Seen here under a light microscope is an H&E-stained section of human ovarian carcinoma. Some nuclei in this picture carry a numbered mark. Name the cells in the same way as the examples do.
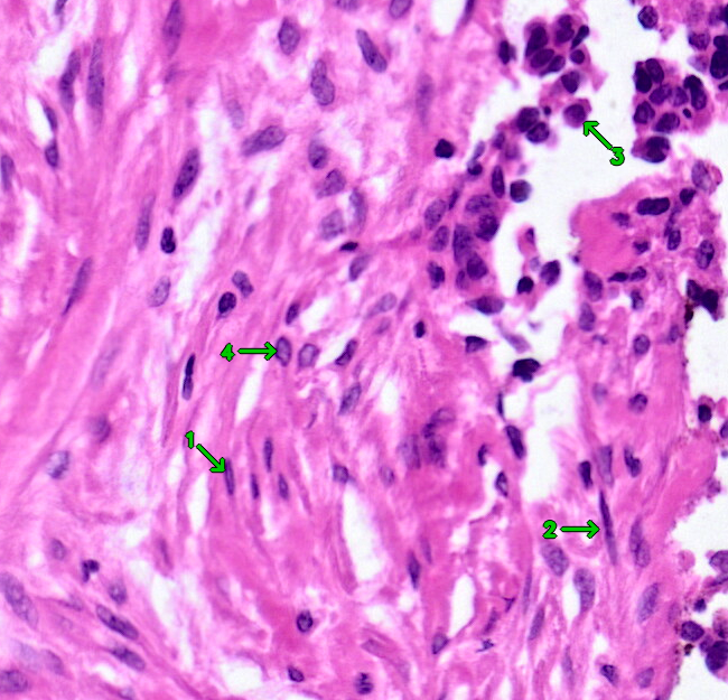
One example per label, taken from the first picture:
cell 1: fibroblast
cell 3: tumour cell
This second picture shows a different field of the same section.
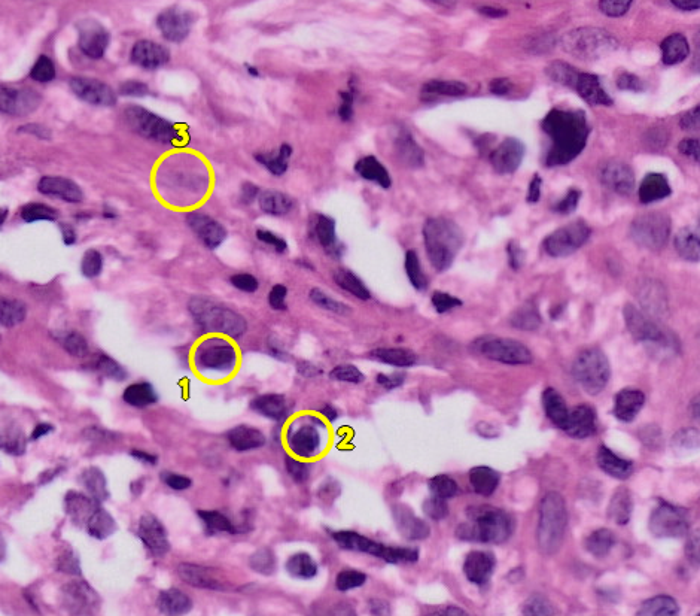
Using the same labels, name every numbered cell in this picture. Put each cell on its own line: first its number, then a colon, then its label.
1: tumour cell
2: tumour cell
3: fibroblast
